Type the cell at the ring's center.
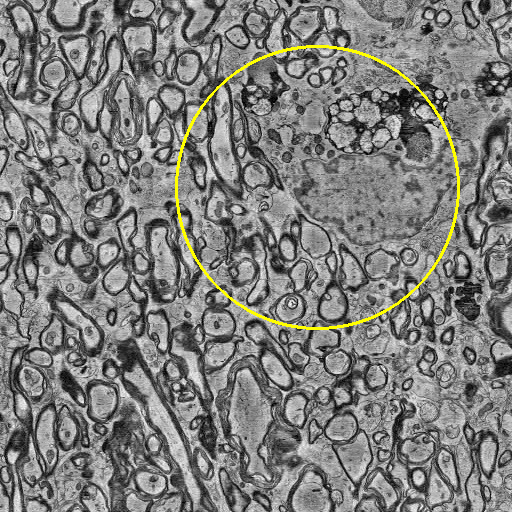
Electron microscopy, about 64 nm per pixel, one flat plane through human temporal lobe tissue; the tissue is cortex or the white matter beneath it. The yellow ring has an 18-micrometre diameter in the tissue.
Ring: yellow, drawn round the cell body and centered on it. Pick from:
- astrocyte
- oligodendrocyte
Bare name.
astrocyte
